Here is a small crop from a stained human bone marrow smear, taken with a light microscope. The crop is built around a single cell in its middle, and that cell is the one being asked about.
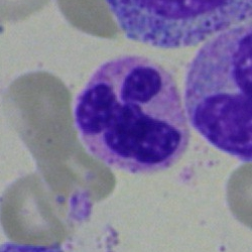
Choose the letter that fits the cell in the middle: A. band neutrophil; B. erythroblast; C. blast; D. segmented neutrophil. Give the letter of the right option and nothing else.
D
